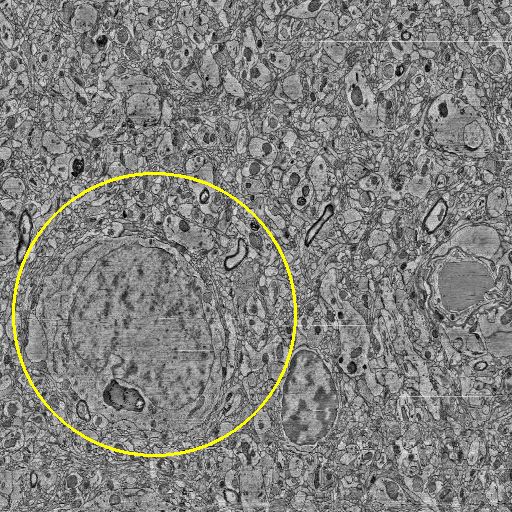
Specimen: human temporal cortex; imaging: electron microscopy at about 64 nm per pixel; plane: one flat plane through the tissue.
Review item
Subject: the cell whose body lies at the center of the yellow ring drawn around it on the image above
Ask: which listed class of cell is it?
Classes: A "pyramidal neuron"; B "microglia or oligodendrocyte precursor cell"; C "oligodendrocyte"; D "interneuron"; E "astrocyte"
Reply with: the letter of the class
D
